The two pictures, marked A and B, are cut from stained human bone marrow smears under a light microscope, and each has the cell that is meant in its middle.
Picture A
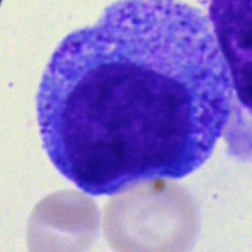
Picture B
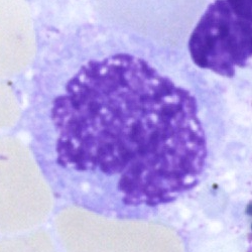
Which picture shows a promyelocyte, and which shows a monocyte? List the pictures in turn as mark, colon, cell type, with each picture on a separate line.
A: promyelocyte
B: monocyte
